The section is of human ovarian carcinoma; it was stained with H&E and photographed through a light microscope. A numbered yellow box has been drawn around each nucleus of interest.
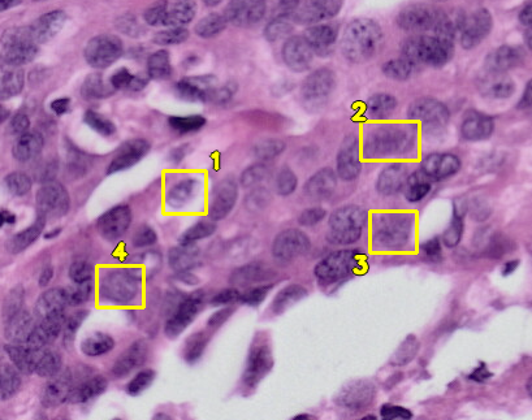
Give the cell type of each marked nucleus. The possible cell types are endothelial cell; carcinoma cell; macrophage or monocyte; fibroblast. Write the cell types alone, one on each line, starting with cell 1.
macrophage or monocyte
carcinoma cell
carcinoma cell
carcinoma cell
